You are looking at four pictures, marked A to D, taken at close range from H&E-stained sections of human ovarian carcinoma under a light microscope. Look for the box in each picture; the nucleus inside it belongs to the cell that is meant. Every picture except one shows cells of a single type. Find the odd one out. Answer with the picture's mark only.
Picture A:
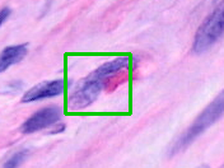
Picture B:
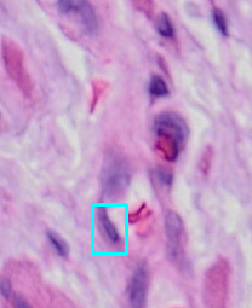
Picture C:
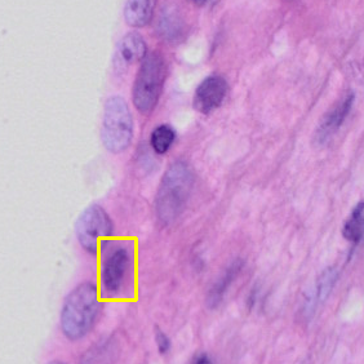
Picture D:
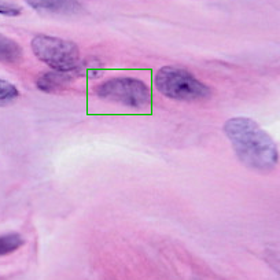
C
